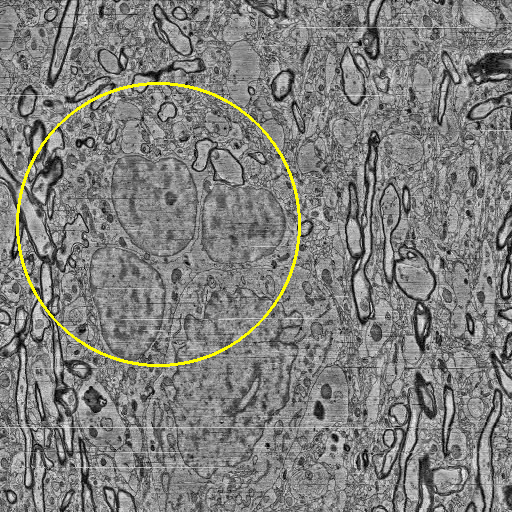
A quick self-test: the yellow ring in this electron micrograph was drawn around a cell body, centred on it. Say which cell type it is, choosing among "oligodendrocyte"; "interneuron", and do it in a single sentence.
The yellow-ringed cell is an oligodendrocyte.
